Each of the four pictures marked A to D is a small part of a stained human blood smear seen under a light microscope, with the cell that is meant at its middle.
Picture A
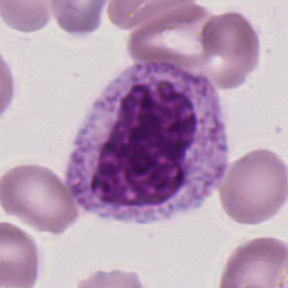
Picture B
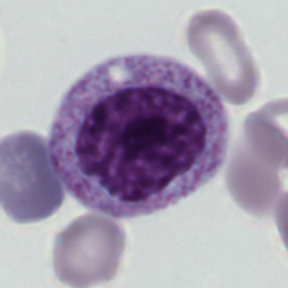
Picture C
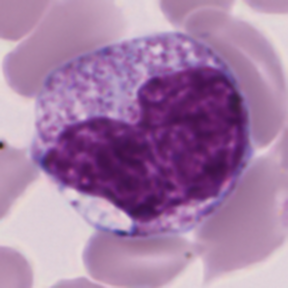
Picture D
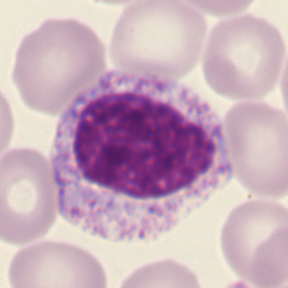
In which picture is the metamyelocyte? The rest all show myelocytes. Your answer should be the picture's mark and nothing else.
A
